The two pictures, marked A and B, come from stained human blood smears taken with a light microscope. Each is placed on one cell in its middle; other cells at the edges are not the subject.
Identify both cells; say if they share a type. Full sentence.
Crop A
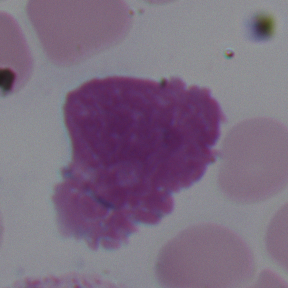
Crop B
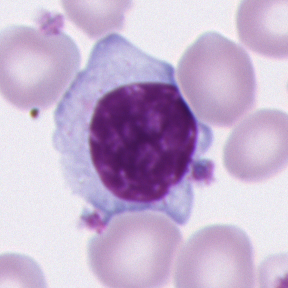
No, a typical lymphocyte is the cell in crop B, and crop A contains a smudge cell.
